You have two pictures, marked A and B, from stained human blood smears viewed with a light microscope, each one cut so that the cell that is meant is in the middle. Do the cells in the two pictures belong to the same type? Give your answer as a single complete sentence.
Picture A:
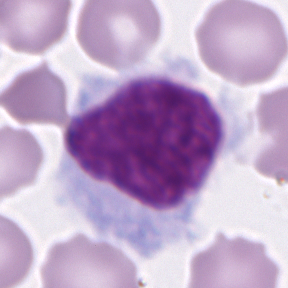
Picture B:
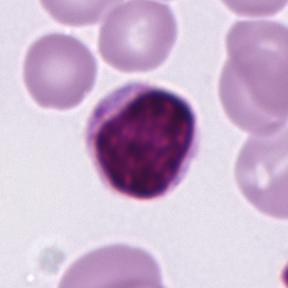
No, picture A shows a hairy cell and picture B shows a large granular lymphocyte.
